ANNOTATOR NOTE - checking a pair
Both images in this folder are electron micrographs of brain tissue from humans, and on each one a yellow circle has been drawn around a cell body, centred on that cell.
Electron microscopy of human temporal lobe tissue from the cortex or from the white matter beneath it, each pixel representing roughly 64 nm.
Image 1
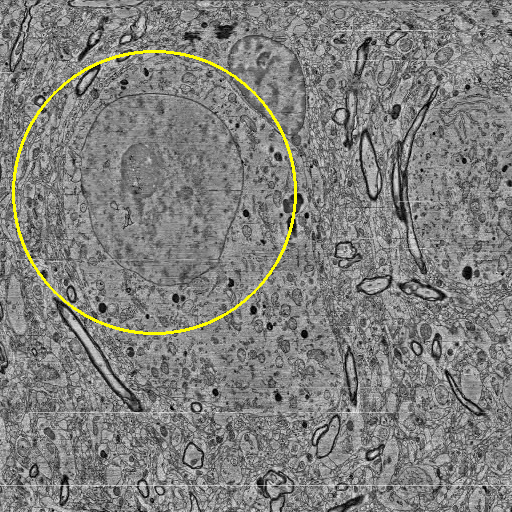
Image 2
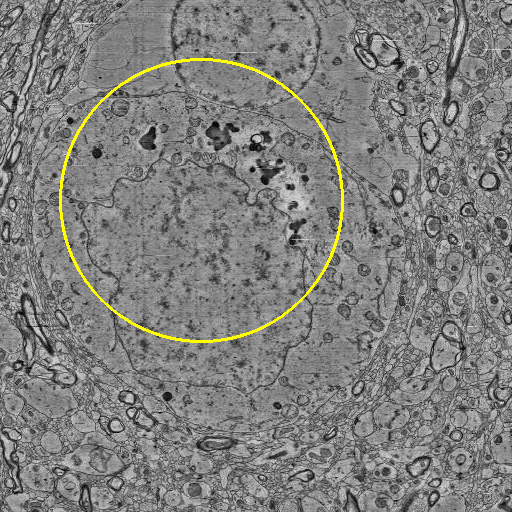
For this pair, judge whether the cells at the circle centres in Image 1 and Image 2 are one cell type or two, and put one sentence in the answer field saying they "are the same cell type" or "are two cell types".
For this pair, the cells at the circle centres in Images 1 and 2 are the same cell type.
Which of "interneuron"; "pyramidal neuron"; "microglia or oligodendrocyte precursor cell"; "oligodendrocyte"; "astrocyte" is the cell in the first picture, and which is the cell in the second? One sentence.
Both the first and the second picture show a pyramidal neuron in the ring.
